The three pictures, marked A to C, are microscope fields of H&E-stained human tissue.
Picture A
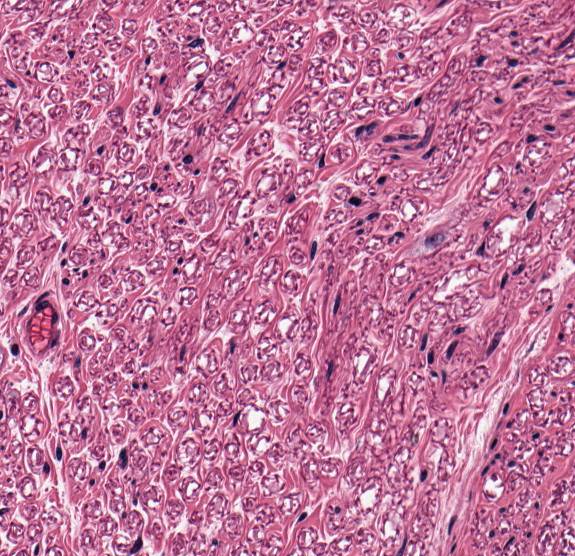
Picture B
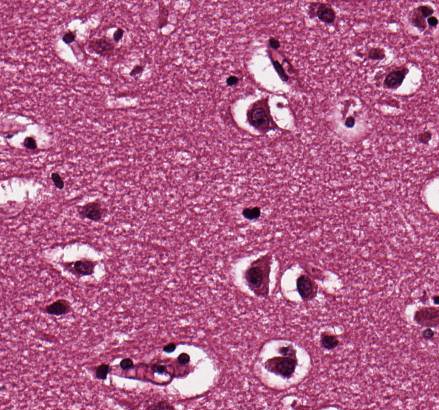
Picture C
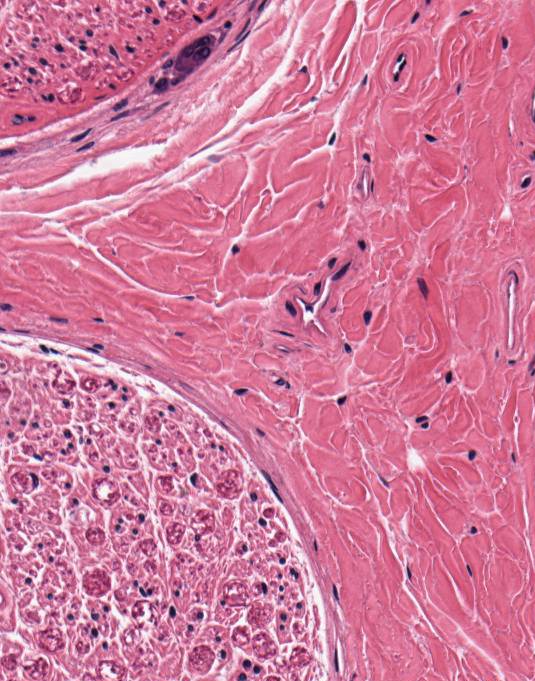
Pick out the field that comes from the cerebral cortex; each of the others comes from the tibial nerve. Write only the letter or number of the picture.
B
